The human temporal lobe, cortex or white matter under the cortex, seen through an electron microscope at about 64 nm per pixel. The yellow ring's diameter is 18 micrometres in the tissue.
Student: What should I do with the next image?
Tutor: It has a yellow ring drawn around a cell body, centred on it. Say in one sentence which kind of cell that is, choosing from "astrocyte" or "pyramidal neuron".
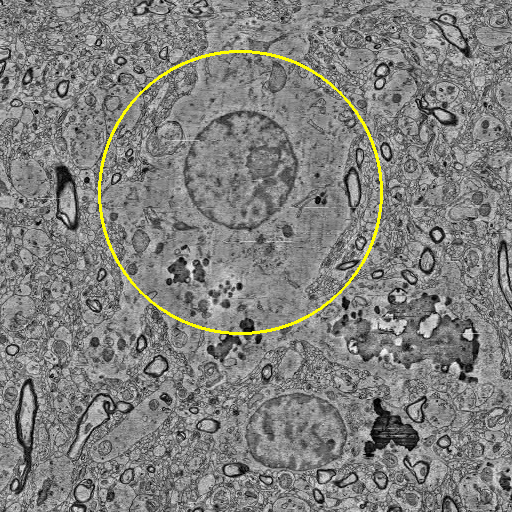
The ring's centre is occupied by an astrocyte.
